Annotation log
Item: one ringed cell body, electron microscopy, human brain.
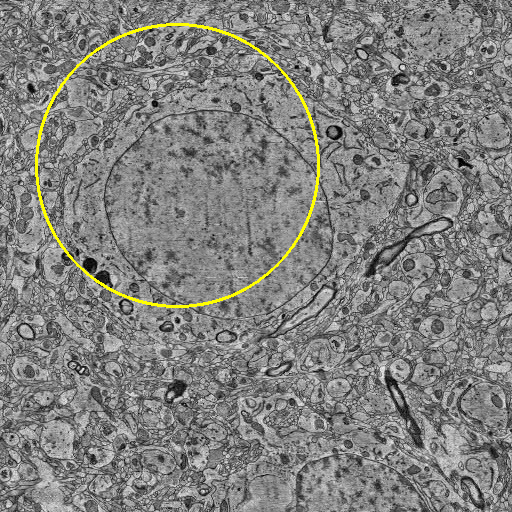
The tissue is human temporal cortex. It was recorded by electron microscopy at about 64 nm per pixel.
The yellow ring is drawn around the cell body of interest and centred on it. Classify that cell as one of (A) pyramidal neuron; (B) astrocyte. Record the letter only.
A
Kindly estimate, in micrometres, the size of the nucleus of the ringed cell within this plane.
The nucleus appears about 14 micrometres across in this plane.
